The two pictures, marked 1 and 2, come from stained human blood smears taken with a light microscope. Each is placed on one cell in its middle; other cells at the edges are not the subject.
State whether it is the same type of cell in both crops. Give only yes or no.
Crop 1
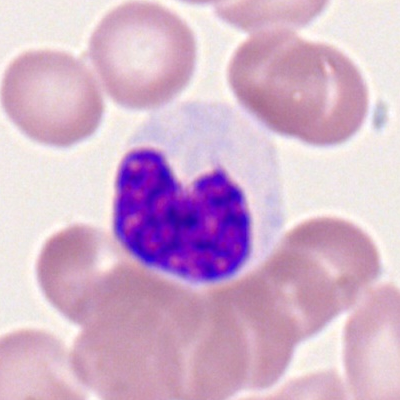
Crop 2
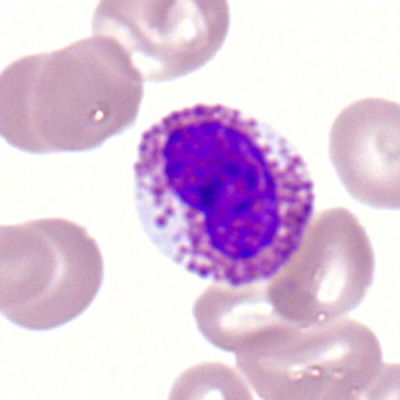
no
